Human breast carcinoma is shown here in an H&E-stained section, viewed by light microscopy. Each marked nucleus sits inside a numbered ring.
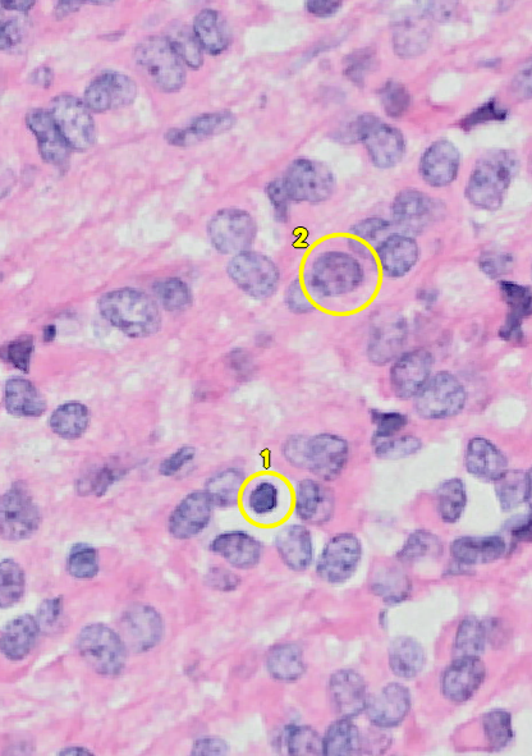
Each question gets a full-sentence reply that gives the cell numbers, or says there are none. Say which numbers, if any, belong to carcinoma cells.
Among the labelled cells, only the cell labelled 2 is a carcinoma cell.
